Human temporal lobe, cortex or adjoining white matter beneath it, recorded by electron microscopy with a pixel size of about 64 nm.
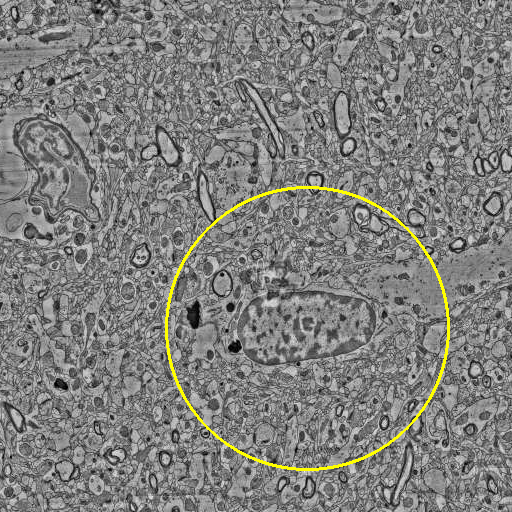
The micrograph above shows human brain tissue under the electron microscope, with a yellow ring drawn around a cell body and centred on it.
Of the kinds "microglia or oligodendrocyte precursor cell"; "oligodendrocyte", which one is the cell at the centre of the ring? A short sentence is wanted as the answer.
The one at the centre of the ring is a microglial cell or oligodendrocyte precursor cell.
